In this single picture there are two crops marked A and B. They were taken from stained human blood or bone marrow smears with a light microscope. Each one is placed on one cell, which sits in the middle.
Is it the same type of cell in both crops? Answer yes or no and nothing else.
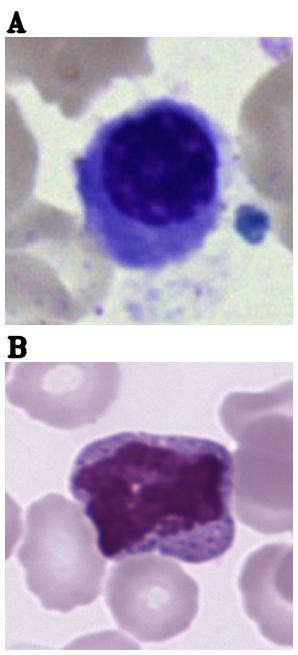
no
